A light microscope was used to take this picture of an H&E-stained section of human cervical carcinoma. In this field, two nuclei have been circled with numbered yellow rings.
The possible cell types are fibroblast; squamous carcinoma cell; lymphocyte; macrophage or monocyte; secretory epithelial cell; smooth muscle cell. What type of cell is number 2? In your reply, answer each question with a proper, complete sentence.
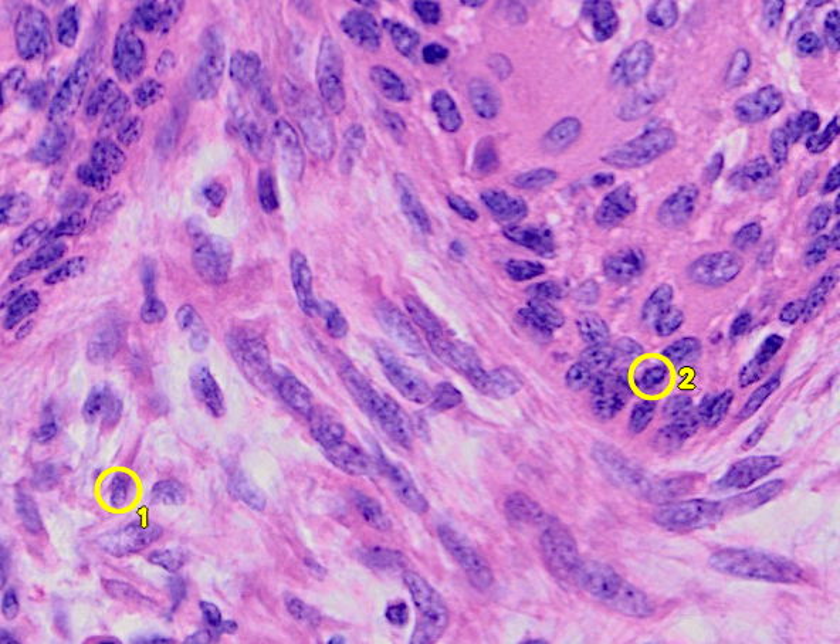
The cell indicated by marker 2 is a squamous carcinoma cell in this section.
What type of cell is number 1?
Among the marked cells, number 1 is a fibroblast.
